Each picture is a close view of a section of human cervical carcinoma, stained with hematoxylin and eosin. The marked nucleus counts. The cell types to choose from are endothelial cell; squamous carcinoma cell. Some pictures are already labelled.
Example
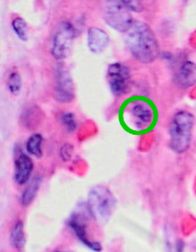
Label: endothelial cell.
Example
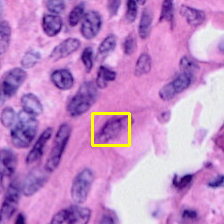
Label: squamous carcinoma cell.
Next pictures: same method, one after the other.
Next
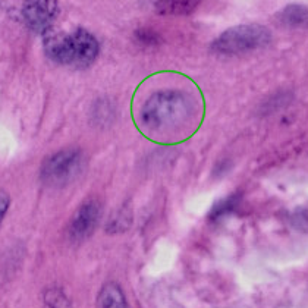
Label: squamous carcinoma cell.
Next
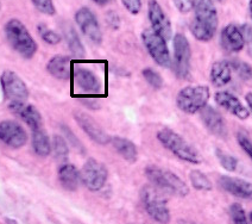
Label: squamous carcinoma cell.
